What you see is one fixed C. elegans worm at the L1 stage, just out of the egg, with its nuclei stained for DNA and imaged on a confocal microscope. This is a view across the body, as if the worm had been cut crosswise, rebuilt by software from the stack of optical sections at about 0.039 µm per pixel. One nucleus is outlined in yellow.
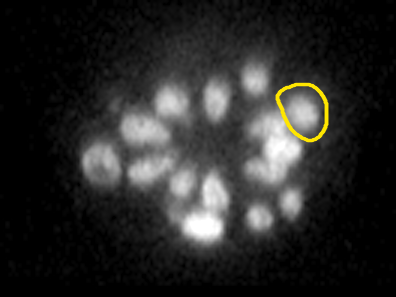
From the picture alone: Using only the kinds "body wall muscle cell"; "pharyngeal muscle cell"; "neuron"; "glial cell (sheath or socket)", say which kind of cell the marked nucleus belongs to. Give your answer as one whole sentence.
The marked cell is a neuron.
